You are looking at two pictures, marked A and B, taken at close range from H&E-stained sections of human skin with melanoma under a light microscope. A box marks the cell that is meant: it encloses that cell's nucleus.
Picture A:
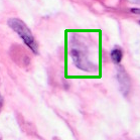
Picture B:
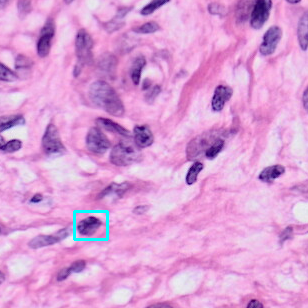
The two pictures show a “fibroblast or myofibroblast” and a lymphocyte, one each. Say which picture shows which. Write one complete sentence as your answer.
It is picture A that shows a “fibroblast or myofibroblast”, and picture B that shows a lymphocyte.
